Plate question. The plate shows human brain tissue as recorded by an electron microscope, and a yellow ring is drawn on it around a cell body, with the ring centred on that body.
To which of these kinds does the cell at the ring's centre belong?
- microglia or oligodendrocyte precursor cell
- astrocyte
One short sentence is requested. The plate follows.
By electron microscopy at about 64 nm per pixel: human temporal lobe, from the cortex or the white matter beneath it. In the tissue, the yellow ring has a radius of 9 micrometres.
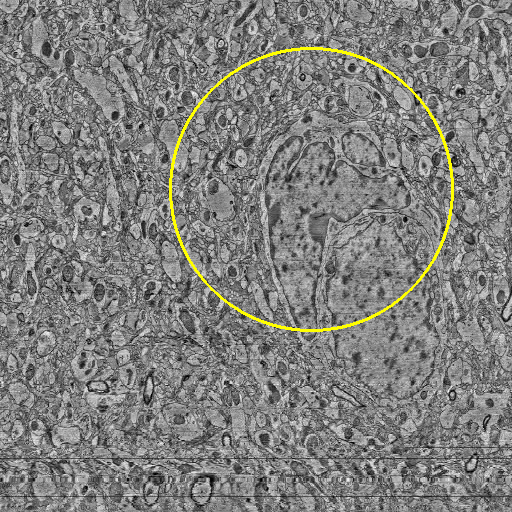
The cell at the ring's centre is a microglial cell or oligodendrocyte precursor cell.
